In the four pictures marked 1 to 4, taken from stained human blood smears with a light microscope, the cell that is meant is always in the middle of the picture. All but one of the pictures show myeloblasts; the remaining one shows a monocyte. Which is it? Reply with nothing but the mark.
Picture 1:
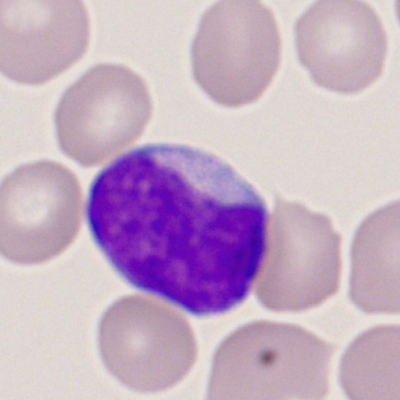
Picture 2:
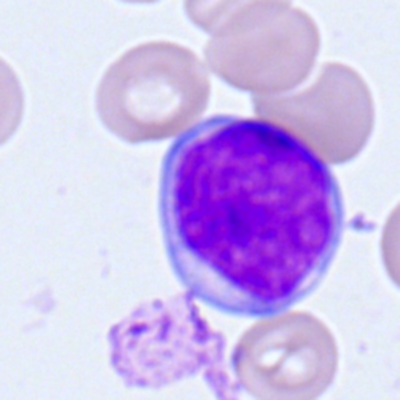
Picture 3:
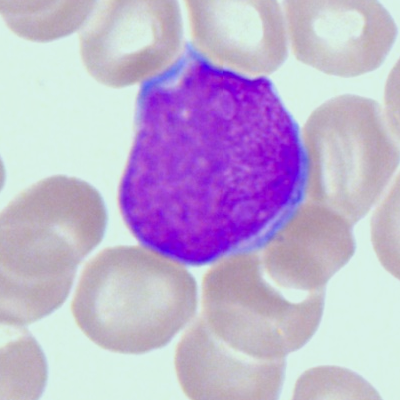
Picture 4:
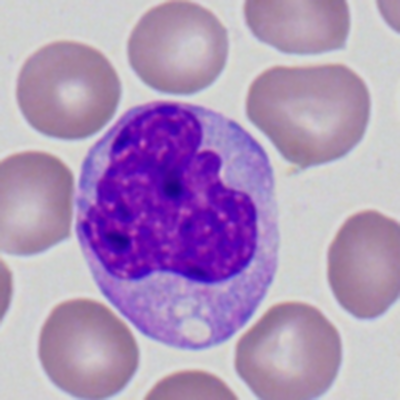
4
